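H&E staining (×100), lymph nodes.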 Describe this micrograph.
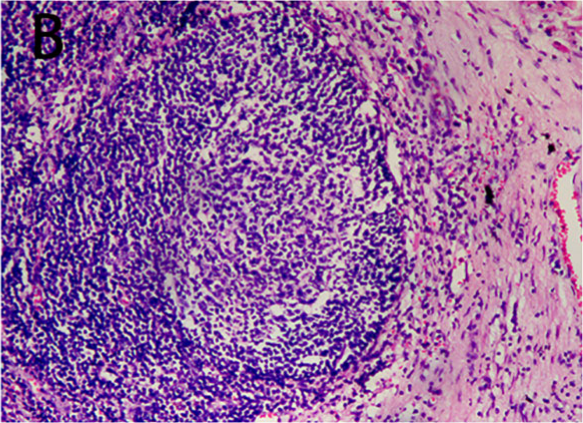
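The lymphocytes have small, round, dark purple nuclei with scant cytoplasm and lie tightly crowded, most densely at the rim of the nodule and somewhat looser toward its center. Around the nodule lies pink fibrous tissue with scattered spindle-shaped cells with elongated nuclei. At the right edge a thin-walled vessel lined by flat cells is seen, and a small black pigment deposit lies in the fibrous tissue nearby. No clusters of large cells with atypical nuclei are seen.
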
